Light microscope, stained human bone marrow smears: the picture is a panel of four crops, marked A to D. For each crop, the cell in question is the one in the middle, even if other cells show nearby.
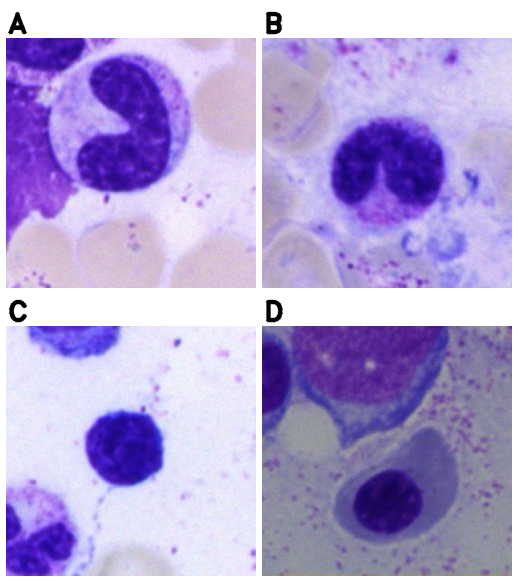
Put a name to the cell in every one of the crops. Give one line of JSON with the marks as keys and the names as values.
{"A": "band neutrophil", "B": "band neutrophil", "C": "lymphocyte", "D": "erythroblast"}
